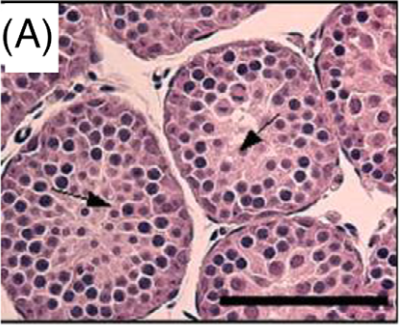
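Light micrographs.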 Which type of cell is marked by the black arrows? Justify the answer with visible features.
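The arrows point to cells near the tubule lumen. These innermost cells have small round nuclei. No slender elongated heads are seen in the lumen.
Hence: round spermatids.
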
